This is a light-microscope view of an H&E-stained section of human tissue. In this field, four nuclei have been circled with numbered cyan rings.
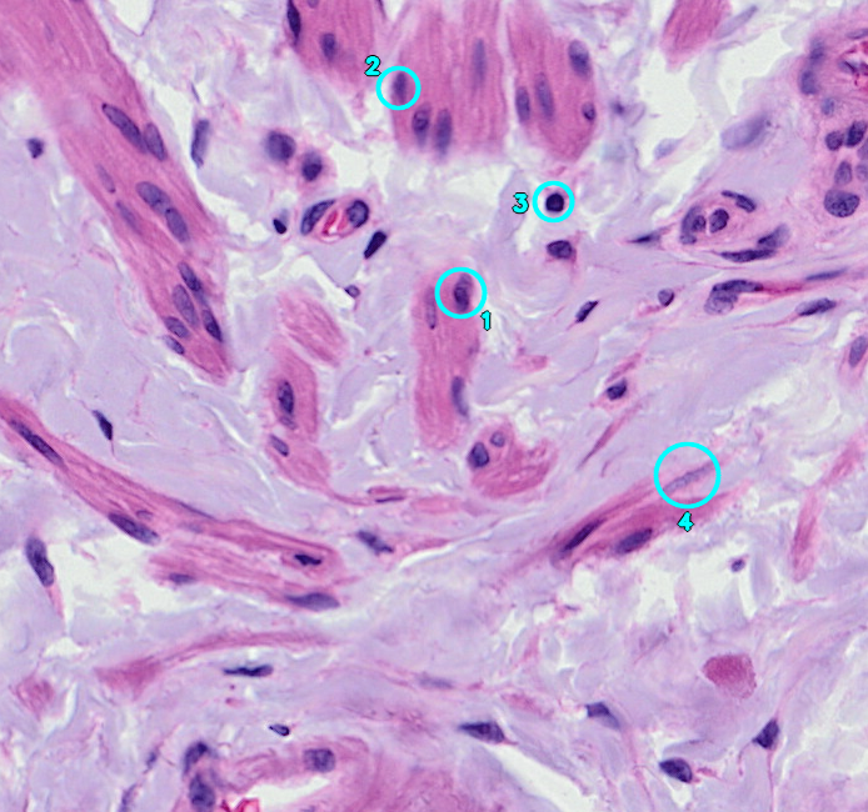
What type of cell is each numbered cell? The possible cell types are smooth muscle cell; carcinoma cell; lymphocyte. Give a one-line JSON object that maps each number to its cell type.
{"1": "smooth muscle cell", "2": "smooth muscle cell", "3": "lymphocyte", "4": "smooth muscle cell"}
